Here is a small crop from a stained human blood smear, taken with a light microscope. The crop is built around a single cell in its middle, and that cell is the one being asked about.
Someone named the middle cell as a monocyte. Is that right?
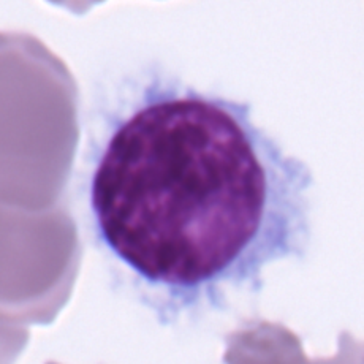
no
